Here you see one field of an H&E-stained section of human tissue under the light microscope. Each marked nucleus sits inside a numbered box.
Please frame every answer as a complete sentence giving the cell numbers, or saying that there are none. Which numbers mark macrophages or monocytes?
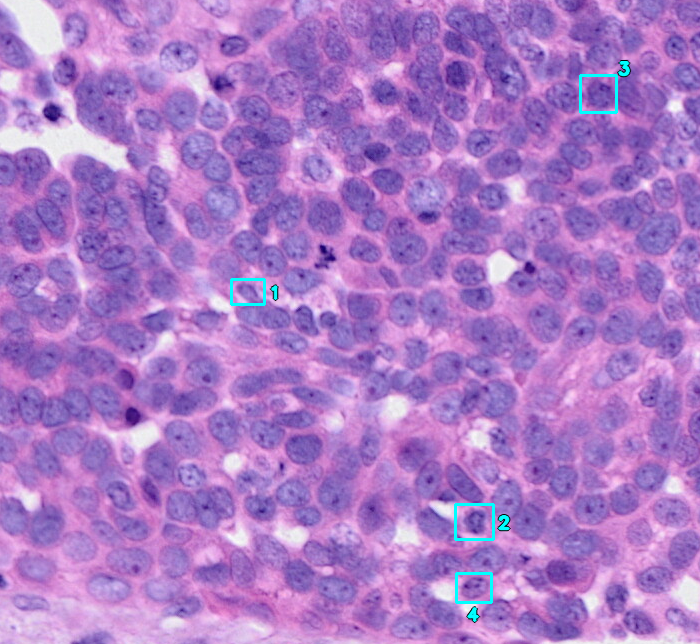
The numbers 1, 2 and 4 refer to cells that are macrophages or monocytes.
